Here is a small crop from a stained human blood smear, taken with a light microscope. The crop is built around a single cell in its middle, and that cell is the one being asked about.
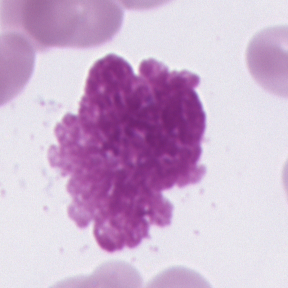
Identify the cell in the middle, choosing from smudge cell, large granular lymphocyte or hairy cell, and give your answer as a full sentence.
The target cell in the middle of the crop is a smudge cell.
